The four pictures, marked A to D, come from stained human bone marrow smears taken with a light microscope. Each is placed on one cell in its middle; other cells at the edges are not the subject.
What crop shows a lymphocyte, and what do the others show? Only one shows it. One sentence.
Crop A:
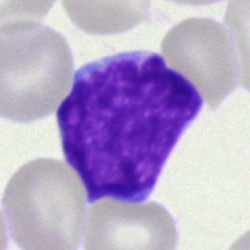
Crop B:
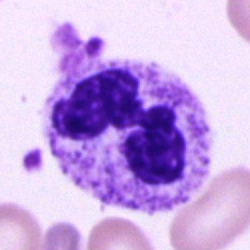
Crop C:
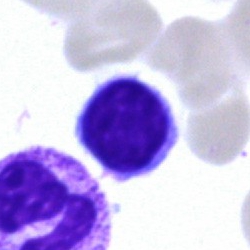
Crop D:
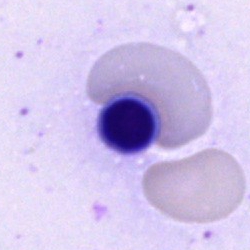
Found in crop C is a lymphocyte, whereas crop A is a blast, crop B is a segmented neutrophil and crop D is an erythroblast.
